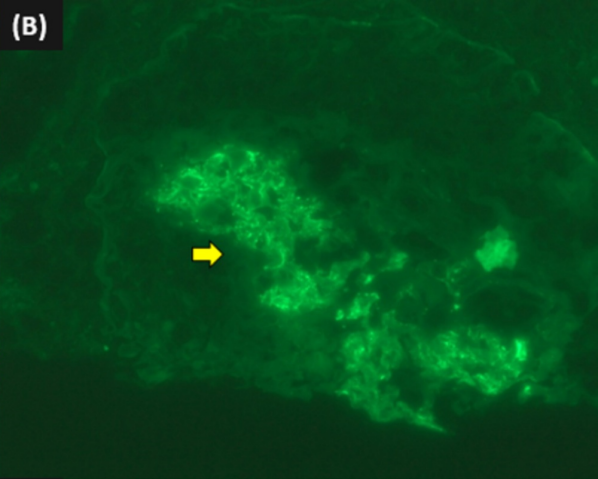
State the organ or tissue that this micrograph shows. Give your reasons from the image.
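A rounded lobulated tuft of bright green granular signal sits within a larger dimmer rounded structure. The answer: glomerulus.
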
